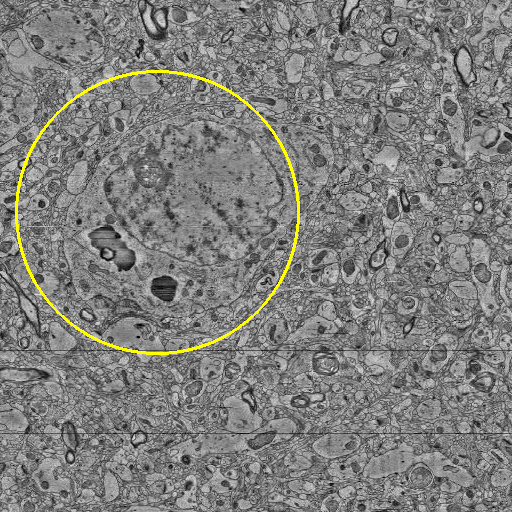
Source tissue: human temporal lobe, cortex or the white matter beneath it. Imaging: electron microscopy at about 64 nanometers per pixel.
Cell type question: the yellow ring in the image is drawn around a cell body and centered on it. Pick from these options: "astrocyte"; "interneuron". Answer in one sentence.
The ringed cell at the center is an interneuron.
